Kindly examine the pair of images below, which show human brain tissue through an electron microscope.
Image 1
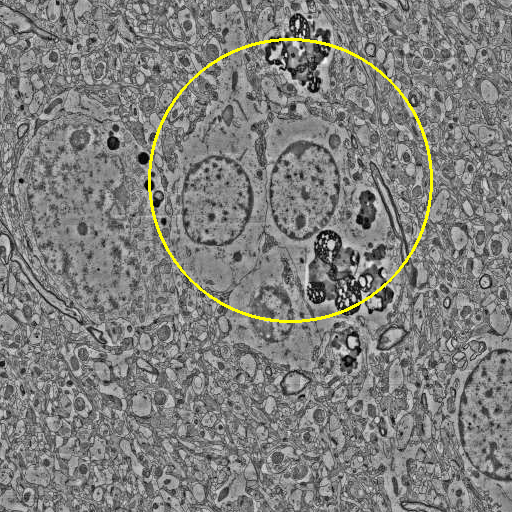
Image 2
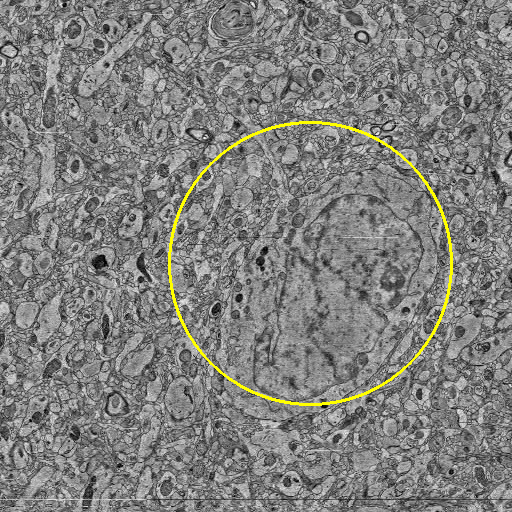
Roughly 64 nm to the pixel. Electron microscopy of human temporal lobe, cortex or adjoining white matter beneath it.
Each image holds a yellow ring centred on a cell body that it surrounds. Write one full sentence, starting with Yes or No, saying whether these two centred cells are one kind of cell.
No, the cells at the centres of the yellow rings belong to two kinds of cell.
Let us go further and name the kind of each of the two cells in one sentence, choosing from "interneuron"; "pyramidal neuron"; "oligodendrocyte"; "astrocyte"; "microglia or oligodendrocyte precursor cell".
The ring of the first picture is on an astrocyte, the ring of the second on an interneuron.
